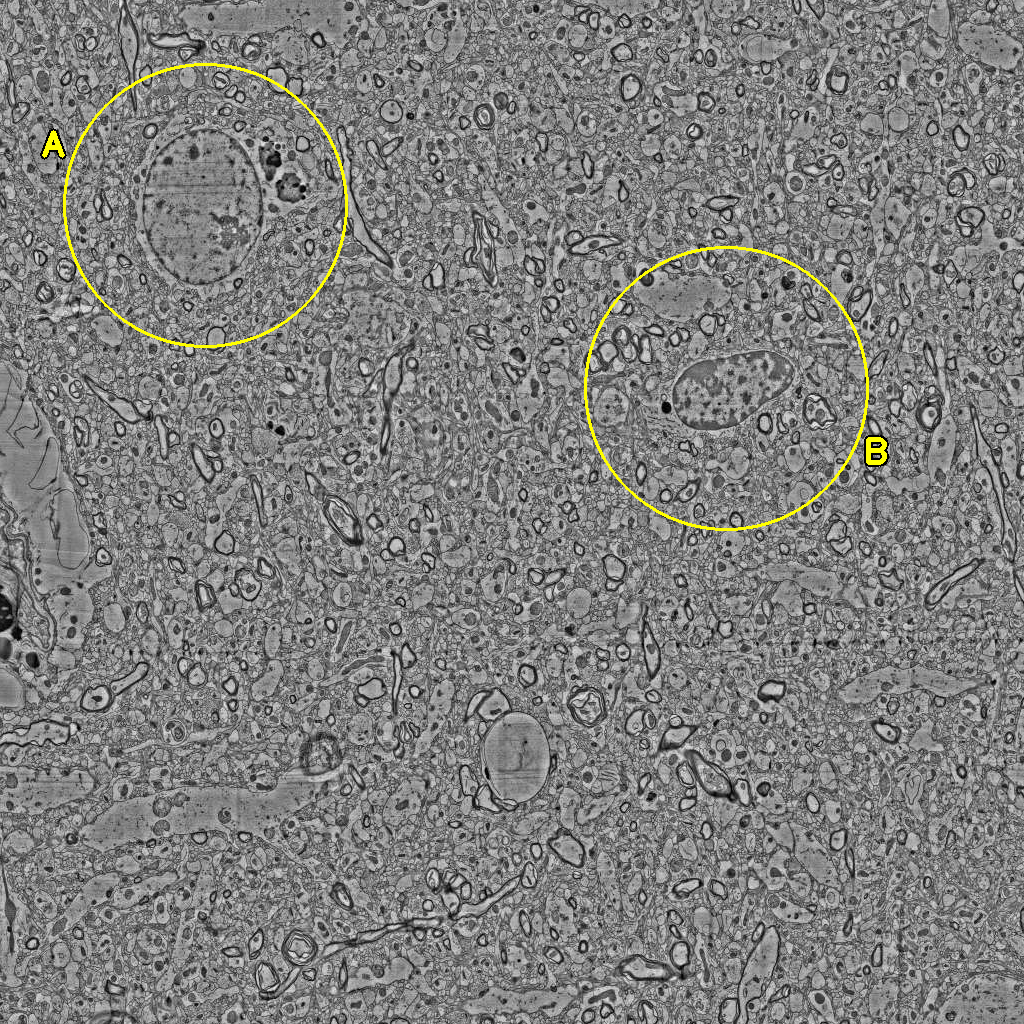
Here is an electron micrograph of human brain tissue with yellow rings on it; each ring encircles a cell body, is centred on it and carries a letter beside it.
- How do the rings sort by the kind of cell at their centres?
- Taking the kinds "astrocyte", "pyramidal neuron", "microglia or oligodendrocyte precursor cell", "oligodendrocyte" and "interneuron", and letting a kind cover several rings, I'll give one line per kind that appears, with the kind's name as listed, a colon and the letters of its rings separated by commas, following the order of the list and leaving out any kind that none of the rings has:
astrocyte: A
microglia or oligodendrocyte precursor cell: B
